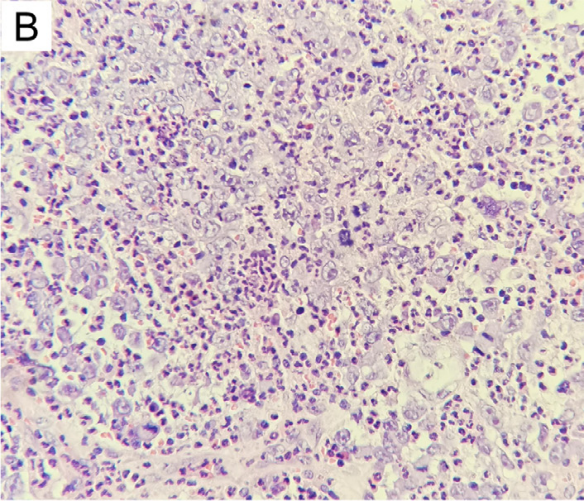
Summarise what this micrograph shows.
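This is a tumor made of rounded cells of mixed appearance, seen at high power. The cells lie loosely in sheets without forming glands or other clear structures. Scattered among them are many small, dark, round nuclei and red blood cells, giving the field a busy, mixed look. A few cells have larger or darker nuclei, showing how unequal the tumor cells are in size.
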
